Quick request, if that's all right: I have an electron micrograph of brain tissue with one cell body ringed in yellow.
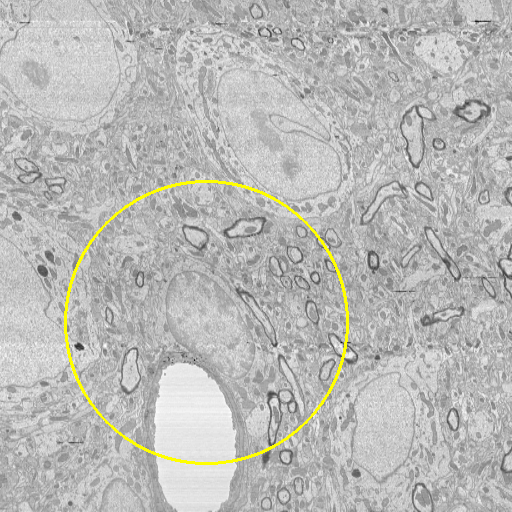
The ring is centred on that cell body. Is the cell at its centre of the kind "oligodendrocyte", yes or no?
yes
